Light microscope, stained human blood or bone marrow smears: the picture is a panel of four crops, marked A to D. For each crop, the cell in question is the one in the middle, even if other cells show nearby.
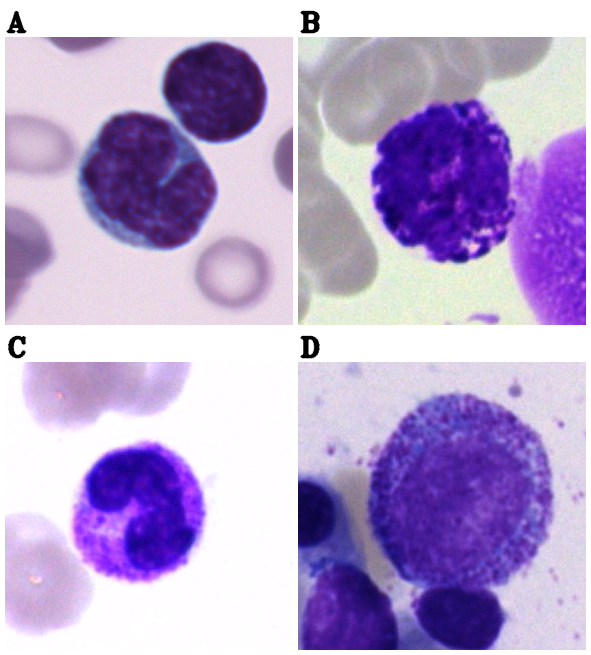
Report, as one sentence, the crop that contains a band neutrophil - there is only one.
The one crop that shows a band neutrophil is crop C.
